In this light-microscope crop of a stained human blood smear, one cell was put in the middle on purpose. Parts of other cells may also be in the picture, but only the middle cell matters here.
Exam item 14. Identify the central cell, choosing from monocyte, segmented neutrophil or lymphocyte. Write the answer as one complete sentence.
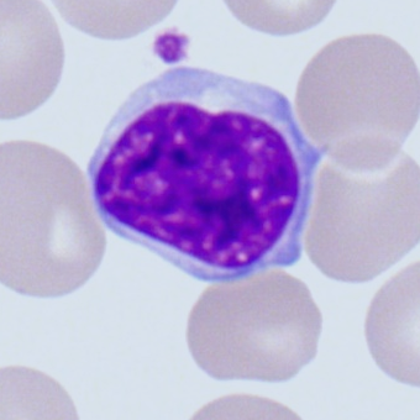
The centrally positioned cell in the crop represents a lymphocyte.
